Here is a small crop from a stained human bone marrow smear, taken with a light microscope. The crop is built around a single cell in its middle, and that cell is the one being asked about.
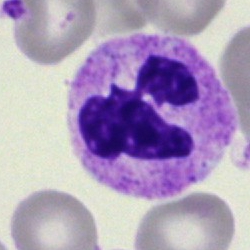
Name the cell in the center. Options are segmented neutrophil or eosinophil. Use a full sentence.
What the crop centres on is a segmented neutrophil.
